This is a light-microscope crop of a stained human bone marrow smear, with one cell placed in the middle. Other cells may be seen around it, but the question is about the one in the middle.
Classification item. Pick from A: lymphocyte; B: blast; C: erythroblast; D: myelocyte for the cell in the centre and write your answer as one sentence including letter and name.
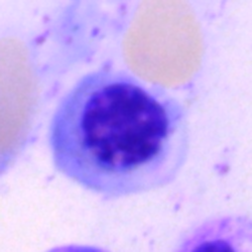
The centrally located cell is an erythroblast, making option C the correct choice.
